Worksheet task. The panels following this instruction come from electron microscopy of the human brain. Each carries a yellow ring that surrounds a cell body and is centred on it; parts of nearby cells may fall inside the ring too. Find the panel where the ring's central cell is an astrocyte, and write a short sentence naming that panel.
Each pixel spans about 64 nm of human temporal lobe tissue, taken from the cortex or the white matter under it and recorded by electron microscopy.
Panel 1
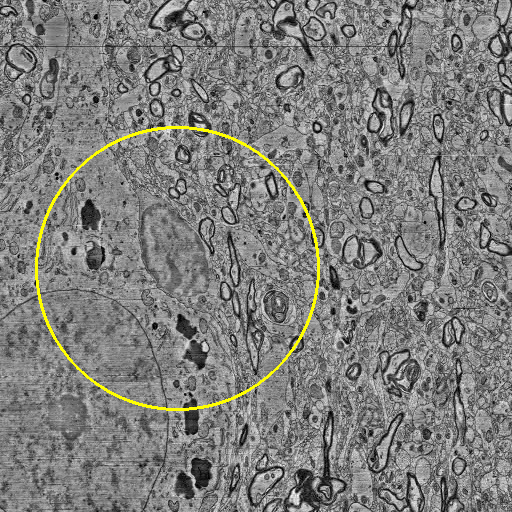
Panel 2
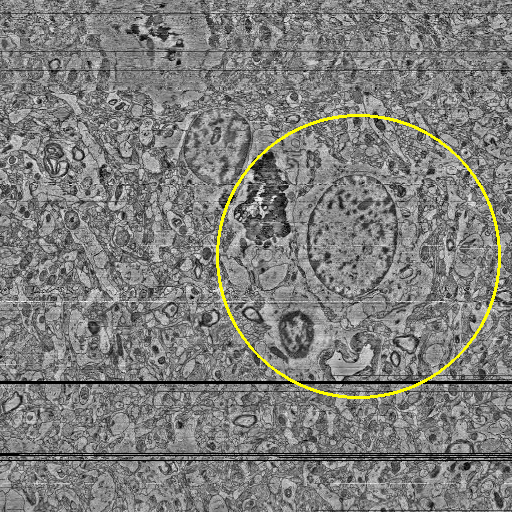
The cell sought is in Panel 2.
